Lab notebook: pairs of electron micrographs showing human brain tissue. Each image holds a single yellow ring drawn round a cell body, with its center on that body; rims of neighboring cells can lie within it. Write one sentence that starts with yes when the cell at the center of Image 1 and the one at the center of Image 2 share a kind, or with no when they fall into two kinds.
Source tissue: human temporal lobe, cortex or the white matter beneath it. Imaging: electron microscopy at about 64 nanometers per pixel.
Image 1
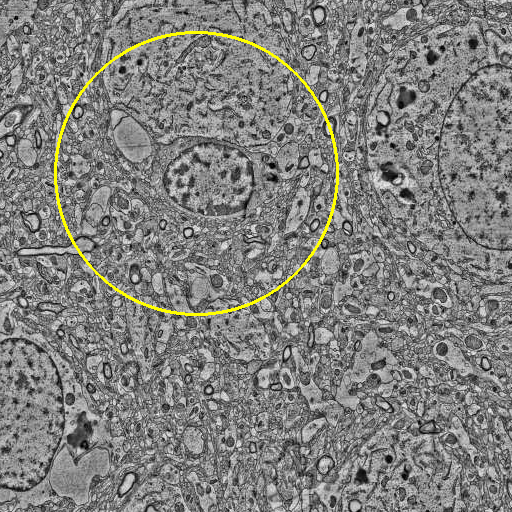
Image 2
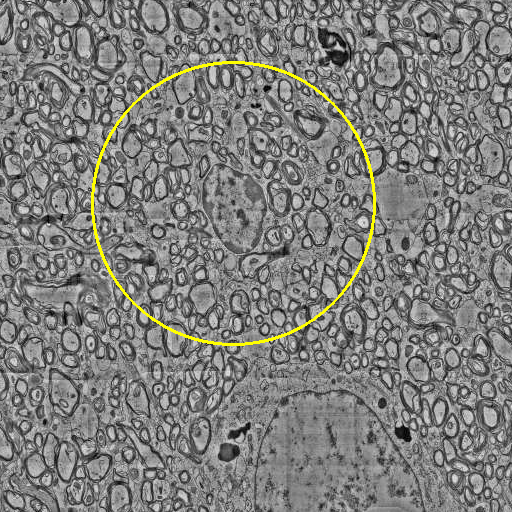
No, the centered cell in Image 1 and the centered cell in Image 2 are of two kinds.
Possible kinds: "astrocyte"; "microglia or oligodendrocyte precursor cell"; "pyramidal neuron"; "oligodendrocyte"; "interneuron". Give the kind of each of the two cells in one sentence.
The cell in the second picture is a microglial cell or oligodendrocyte precursor cell, and that in the first is an oligodendrocyte.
